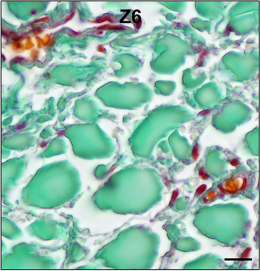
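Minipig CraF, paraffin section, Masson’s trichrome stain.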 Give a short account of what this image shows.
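Dense connective tissue dominated by collagen fibre bundles, cut mostly in cross section. Between the bundles runs a finer meshwork of thin green fibres. Cells are sparse: a few small, elongated nuclei stained dark red lie squeezed between the bundles. Small vessels with red walls and orange-red contents, probably red blood cells, appear at the upper left and lower right edges of the field.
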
